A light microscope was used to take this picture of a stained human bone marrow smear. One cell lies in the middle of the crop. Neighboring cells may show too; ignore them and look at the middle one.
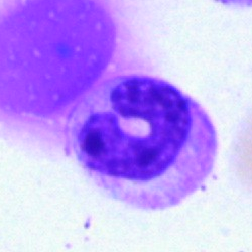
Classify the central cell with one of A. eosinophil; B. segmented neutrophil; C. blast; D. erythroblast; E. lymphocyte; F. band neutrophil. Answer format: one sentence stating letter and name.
The expected answer is option F, the central cell being a band neutrophil.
